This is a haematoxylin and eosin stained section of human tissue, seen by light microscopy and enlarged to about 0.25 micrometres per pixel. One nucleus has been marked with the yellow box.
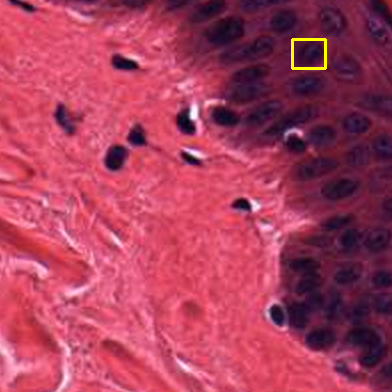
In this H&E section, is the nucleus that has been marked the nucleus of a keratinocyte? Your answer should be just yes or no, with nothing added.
yes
